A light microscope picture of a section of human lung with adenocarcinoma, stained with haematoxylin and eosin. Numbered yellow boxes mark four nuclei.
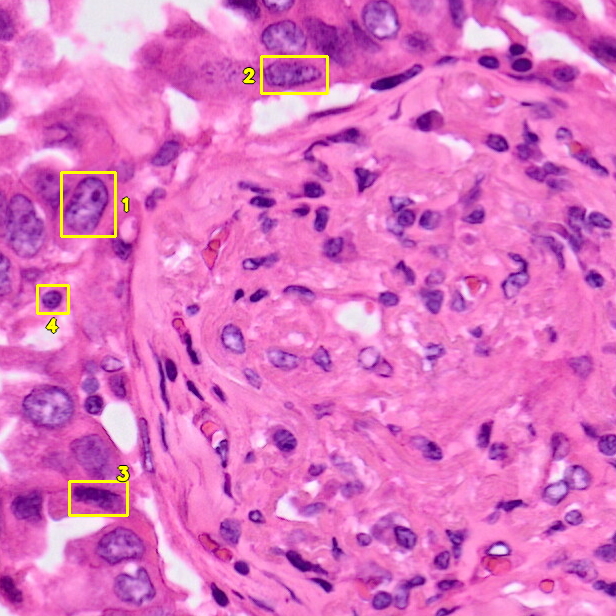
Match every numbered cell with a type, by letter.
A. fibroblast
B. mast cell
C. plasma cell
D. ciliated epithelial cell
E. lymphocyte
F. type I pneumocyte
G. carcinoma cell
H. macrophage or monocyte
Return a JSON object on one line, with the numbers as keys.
{"1": "G", "2": "G", "3": "G", "4": "E"}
